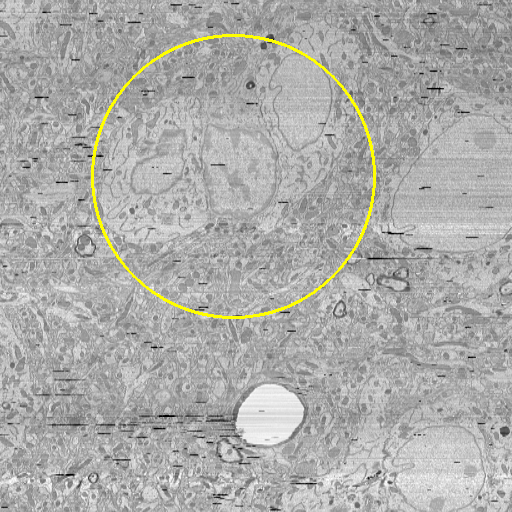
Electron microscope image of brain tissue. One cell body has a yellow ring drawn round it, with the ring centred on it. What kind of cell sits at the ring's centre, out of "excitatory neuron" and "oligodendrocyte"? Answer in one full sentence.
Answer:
It is an oligodendrocyte whose cell body sits at the centre of the yellow ring.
